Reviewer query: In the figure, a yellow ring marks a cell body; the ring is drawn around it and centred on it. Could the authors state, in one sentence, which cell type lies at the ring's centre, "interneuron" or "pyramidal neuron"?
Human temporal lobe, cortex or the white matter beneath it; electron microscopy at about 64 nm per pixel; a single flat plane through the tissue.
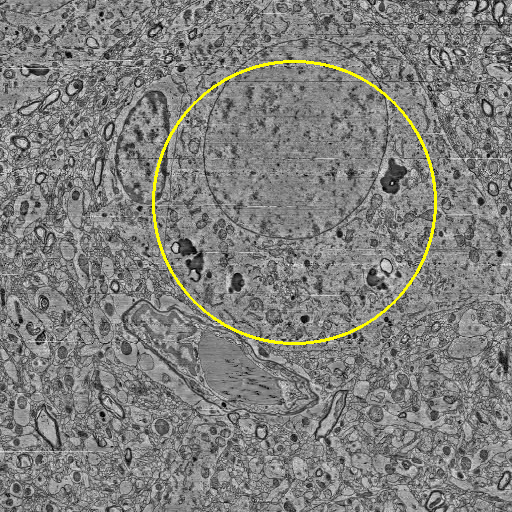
The ring is centred on a pyramidal neuron.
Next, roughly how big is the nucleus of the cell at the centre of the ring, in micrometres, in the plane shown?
About 14 by 11 micrometres in this plane.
